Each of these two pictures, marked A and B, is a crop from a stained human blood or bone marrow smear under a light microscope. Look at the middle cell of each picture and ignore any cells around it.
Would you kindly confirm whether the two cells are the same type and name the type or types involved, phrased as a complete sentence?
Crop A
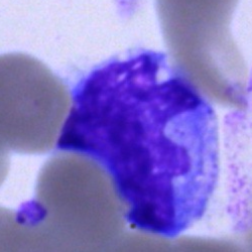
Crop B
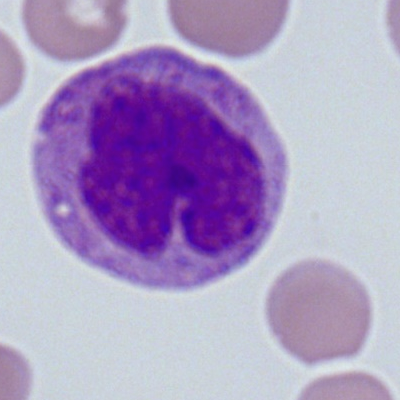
Yes, they do, both crops show monocytes.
